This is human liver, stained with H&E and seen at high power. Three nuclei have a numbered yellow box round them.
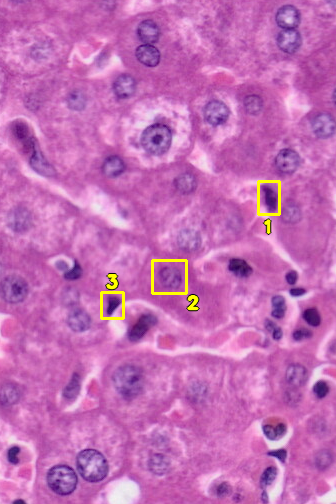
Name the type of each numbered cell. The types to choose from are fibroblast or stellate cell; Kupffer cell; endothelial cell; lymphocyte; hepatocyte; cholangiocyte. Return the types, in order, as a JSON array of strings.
["Kupffer cell", "hepatocyte", "fibroblast or stellate cell"]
